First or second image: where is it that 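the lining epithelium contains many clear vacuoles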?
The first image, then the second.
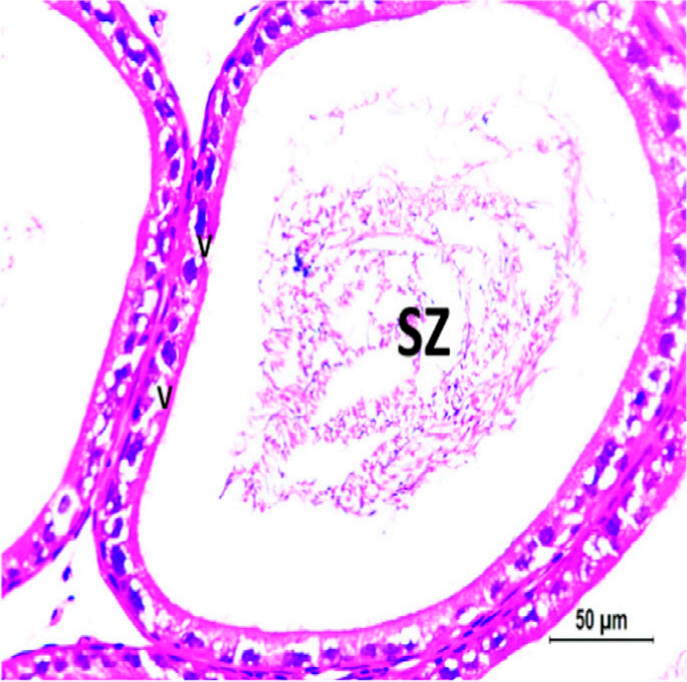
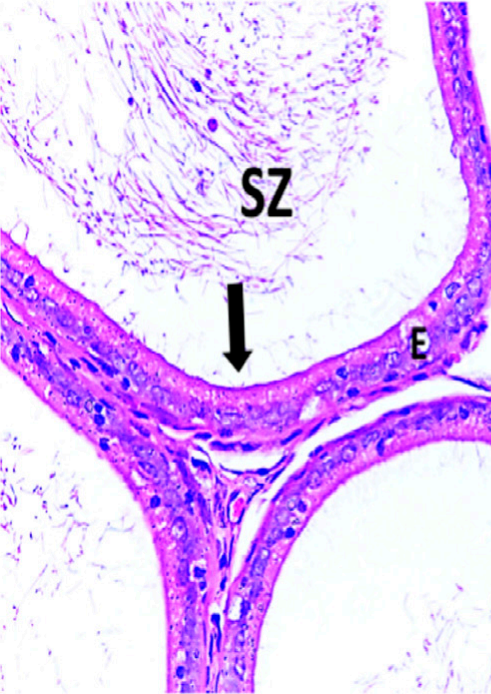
the first image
